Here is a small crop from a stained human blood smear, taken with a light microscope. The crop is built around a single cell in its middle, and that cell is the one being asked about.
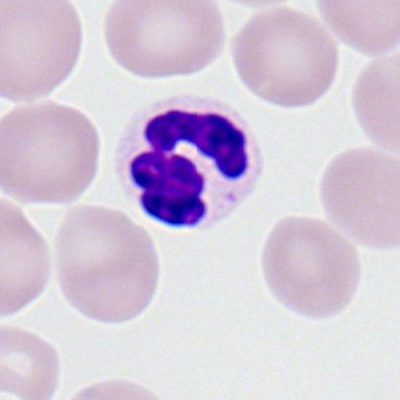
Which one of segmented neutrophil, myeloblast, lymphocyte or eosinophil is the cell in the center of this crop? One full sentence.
The cell that lies at the centre of the crop is a segmented neutrophil.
